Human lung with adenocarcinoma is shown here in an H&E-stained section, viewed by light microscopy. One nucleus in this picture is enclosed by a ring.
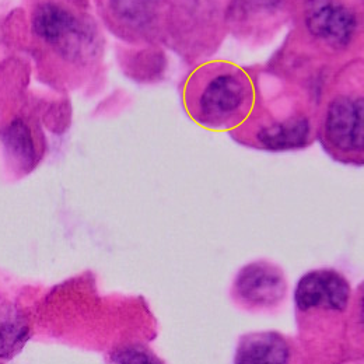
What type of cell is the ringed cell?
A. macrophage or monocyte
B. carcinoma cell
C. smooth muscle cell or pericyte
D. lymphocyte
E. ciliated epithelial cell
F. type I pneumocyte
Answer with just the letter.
B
